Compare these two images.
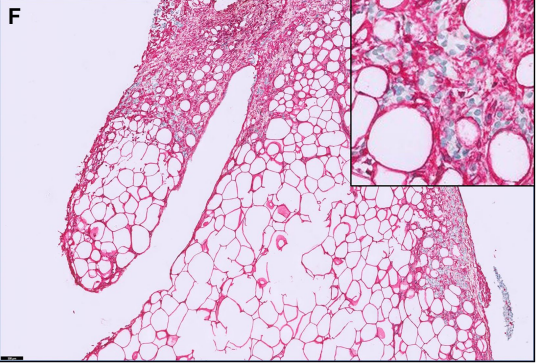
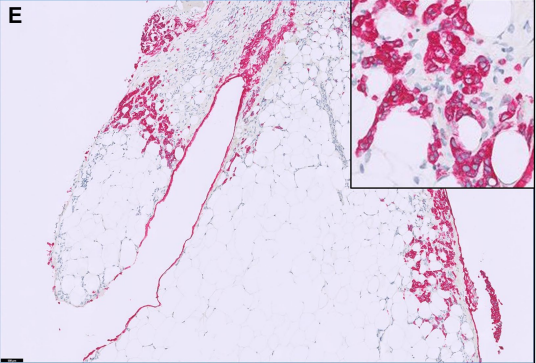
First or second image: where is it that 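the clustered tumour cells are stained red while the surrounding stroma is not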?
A: The second image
